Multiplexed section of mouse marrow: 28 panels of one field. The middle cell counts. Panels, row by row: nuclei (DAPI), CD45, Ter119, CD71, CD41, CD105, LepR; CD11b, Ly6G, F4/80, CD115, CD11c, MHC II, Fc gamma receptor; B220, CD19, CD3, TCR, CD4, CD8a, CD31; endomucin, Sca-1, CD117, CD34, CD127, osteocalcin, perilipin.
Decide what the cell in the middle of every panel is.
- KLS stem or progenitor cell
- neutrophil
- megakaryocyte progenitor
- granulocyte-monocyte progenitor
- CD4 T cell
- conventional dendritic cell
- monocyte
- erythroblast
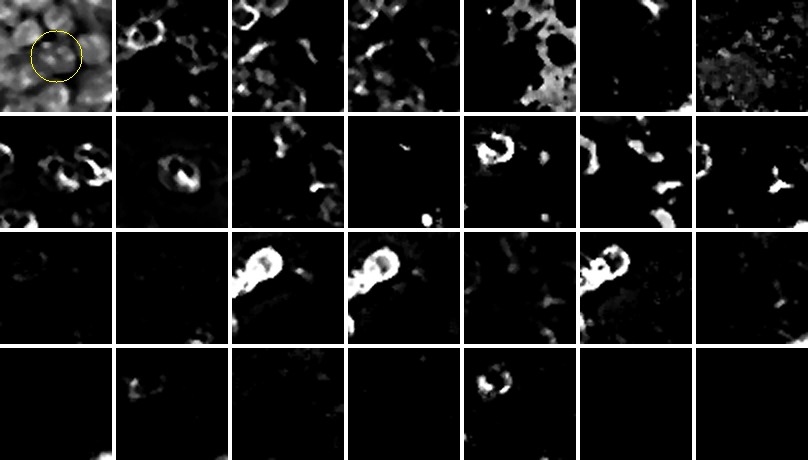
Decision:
neutrophil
